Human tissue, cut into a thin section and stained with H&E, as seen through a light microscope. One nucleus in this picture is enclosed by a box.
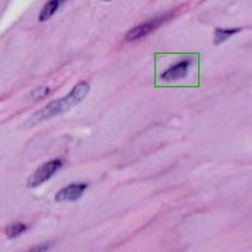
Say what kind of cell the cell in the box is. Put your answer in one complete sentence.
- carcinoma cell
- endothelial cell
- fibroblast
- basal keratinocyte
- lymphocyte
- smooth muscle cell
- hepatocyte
The cell meant here is a fibroblast.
